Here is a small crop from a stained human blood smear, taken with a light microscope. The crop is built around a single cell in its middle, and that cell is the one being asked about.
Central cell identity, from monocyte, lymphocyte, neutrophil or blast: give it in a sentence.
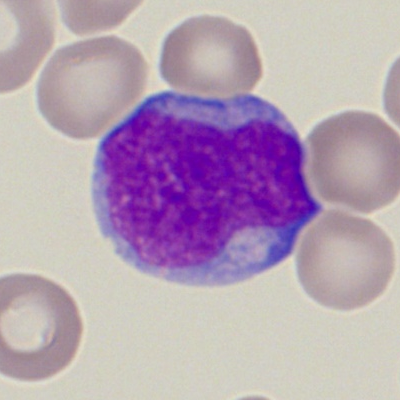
The crop shows a blast in its centre.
